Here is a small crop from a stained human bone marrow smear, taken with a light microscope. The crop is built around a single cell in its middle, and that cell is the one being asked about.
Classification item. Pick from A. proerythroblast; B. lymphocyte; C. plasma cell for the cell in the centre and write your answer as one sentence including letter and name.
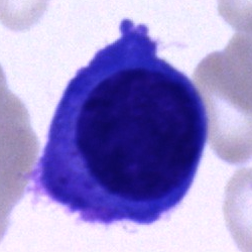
The cell in the middle is a plasma cell, so option C is correct.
